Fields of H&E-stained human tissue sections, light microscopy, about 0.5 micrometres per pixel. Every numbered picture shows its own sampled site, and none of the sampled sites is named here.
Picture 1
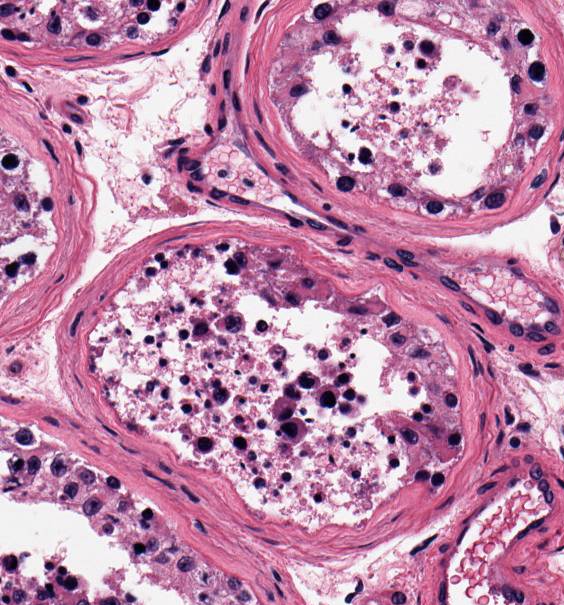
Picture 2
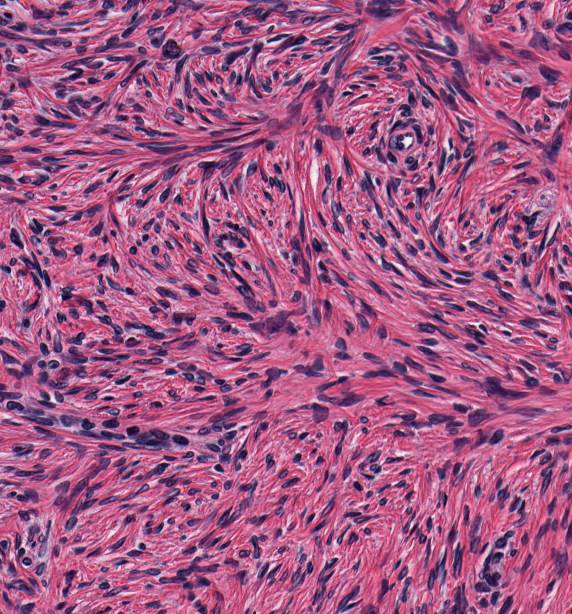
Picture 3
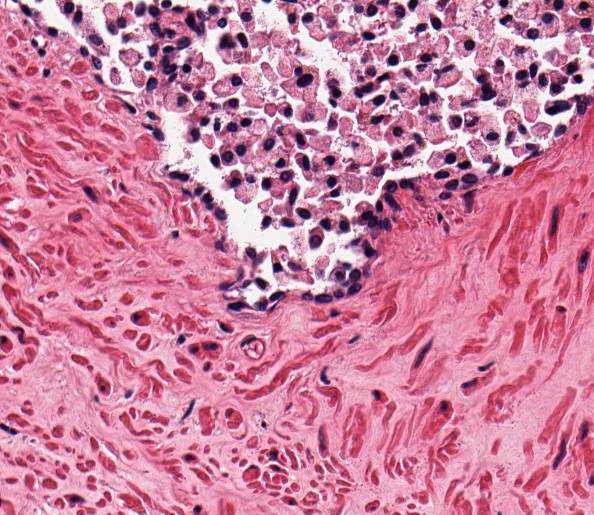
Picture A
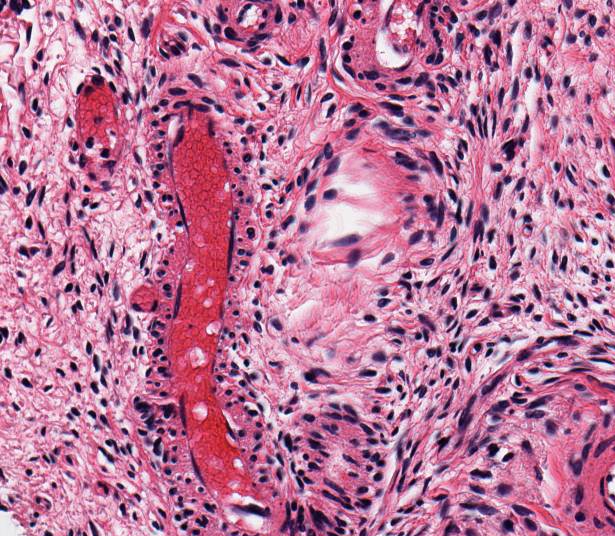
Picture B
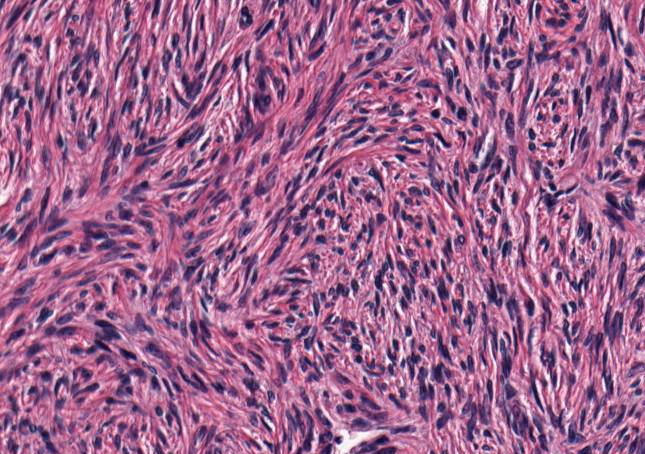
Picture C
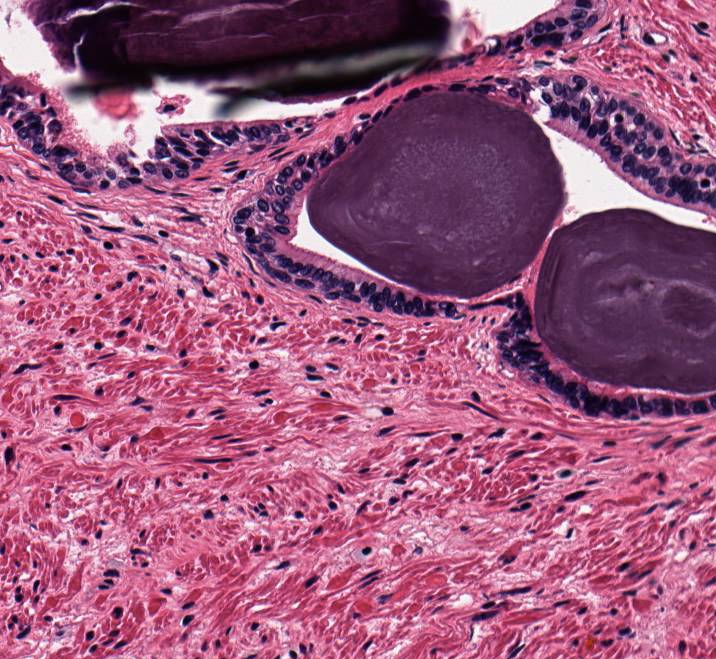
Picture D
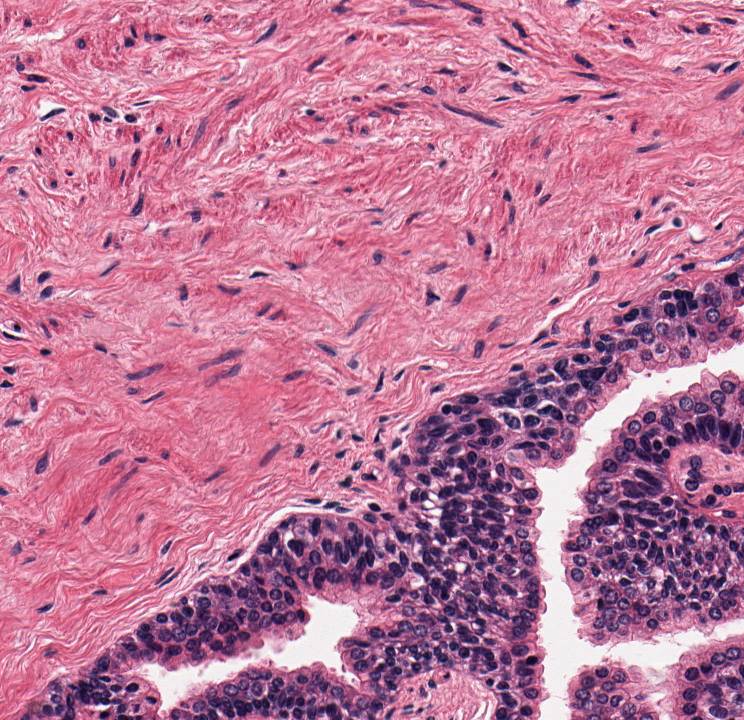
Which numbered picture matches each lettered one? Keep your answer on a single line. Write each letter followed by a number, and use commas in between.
A 2, B 2, C 3, D 3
